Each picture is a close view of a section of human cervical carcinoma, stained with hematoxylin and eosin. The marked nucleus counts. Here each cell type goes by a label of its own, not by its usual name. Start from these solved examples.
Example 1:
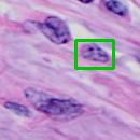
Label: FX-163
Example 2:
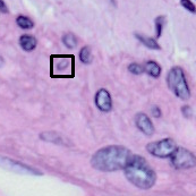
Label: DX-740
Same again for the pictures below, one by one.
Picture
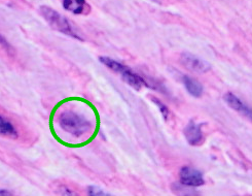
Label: FX-163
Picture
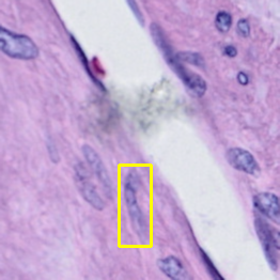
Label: DX-740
